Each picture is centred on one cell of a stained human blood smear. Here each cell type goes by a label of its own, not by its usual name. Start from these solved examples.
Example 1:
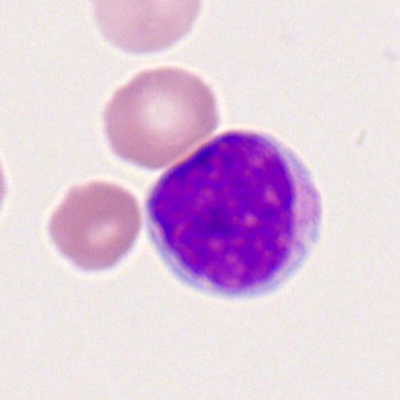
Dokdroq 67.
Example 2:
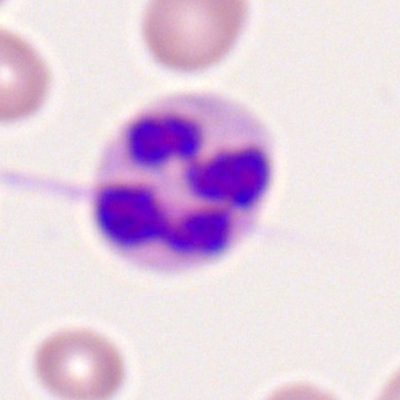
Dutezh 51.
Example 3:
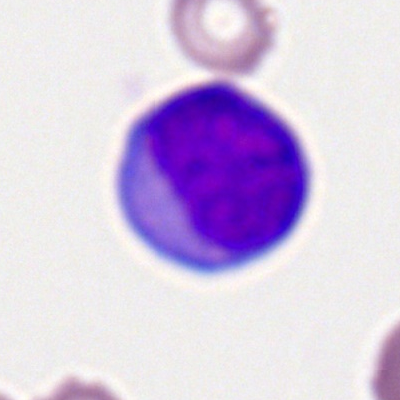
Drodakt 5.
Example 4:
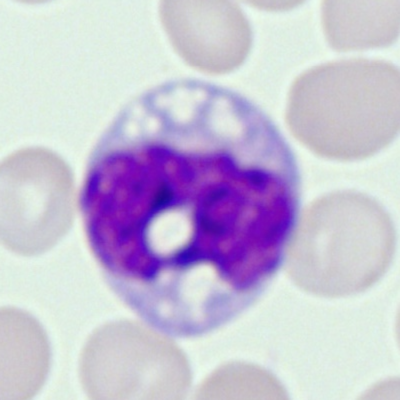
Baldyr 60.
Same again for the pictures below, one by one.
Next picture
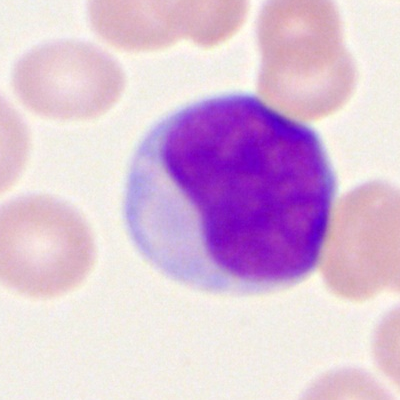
Drodakt 5.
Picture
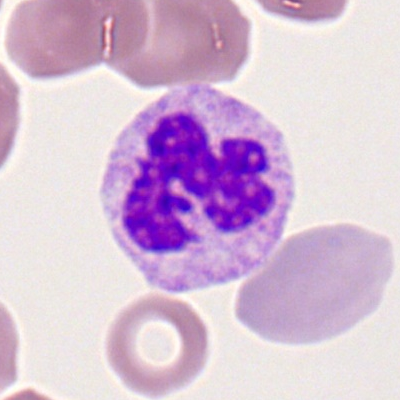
Dutezh 51.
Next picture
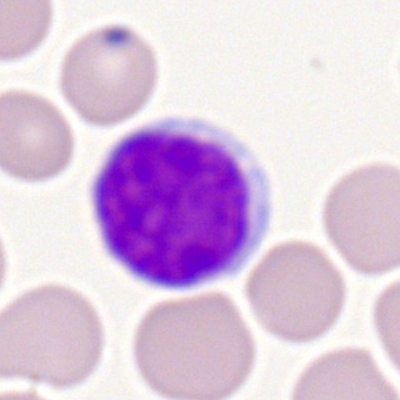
Dokdroq 67.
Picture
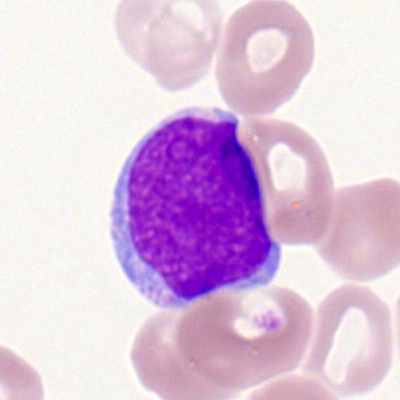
Drodakt 5.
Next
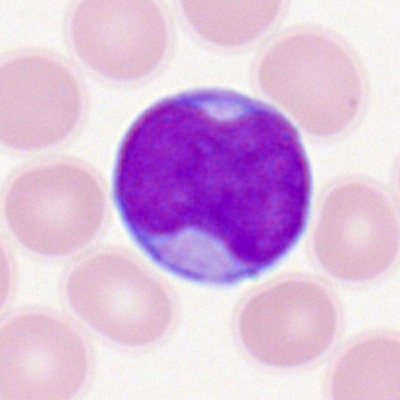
Drodakt 5.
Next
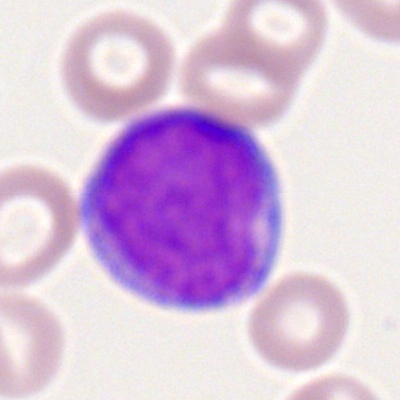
Drodakt 5.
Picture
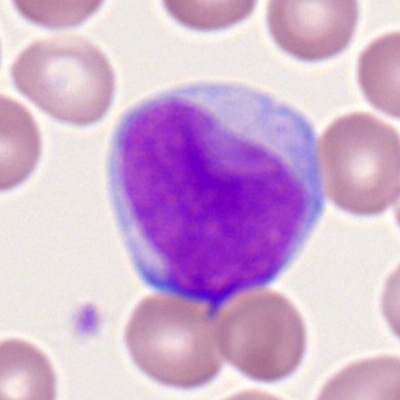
Drodakt 5.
